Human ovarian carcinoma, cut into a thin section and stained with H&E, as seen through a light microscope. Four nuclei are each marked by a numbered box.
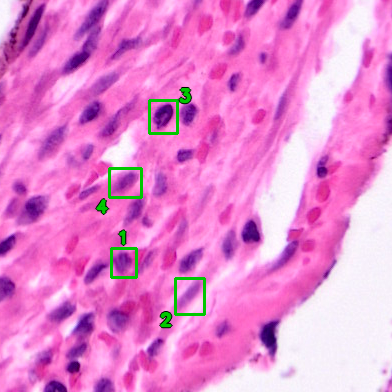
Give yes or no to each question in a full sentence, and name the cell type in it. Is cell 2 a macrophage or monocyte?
No, the cell with the number 2 is a fibroblast, not a macrophage or monocyte.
